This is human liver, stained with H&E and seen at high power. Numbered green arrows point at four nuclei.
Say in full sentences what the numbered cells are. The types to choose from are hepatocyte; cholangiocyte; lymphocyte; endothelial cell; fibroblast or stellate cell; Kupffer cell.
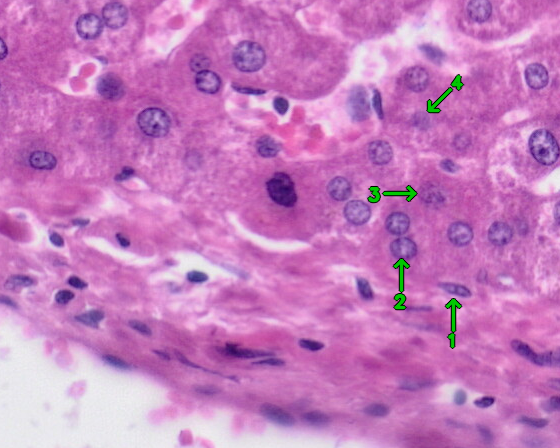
Cell 1 is a fibroblast or stellate cell, cell 2 is a hepatocyte, cell 3 is a hepatocyte and cell 4 is a hepatocyte.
